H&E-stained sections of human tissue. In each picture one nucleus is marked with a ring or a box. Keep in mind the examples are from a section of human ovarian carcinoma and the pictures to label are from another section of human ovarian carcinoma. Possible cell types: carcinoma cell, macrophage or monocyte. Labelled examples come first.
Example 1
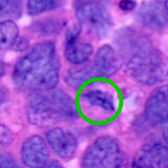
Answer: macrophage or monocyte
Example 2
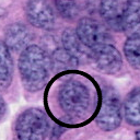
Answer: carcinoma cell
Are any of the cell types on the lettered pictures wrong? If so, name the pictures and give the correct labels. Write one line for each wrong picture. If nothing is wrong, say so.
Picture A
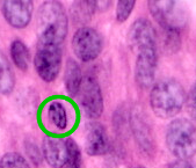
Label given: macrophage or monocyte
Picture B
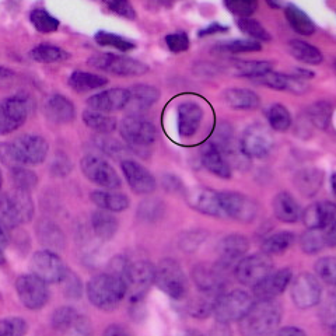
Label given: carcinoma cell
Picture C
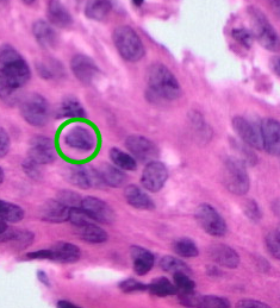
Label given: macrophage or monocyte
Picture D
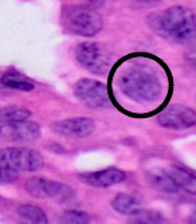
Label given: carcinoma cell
No label is wrong.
